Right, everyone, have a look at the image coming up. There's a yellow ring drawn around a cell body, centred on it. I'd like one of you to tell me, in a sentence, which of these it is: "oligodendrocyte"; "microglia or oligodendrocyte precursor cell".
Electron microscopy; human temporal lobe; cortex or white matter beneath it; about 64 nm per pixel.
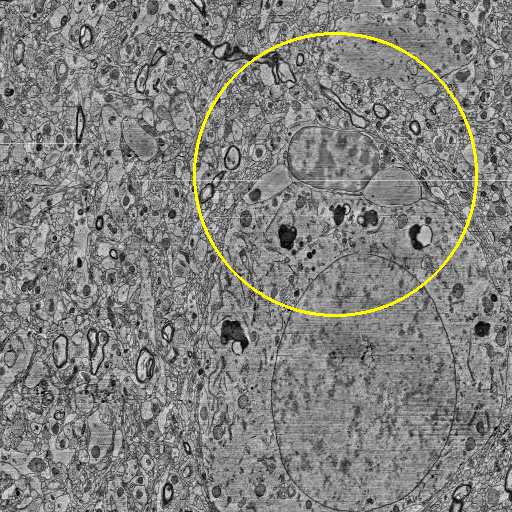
The yellow ring sits on a microglial cell or oligodendrocyte precursor cell.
